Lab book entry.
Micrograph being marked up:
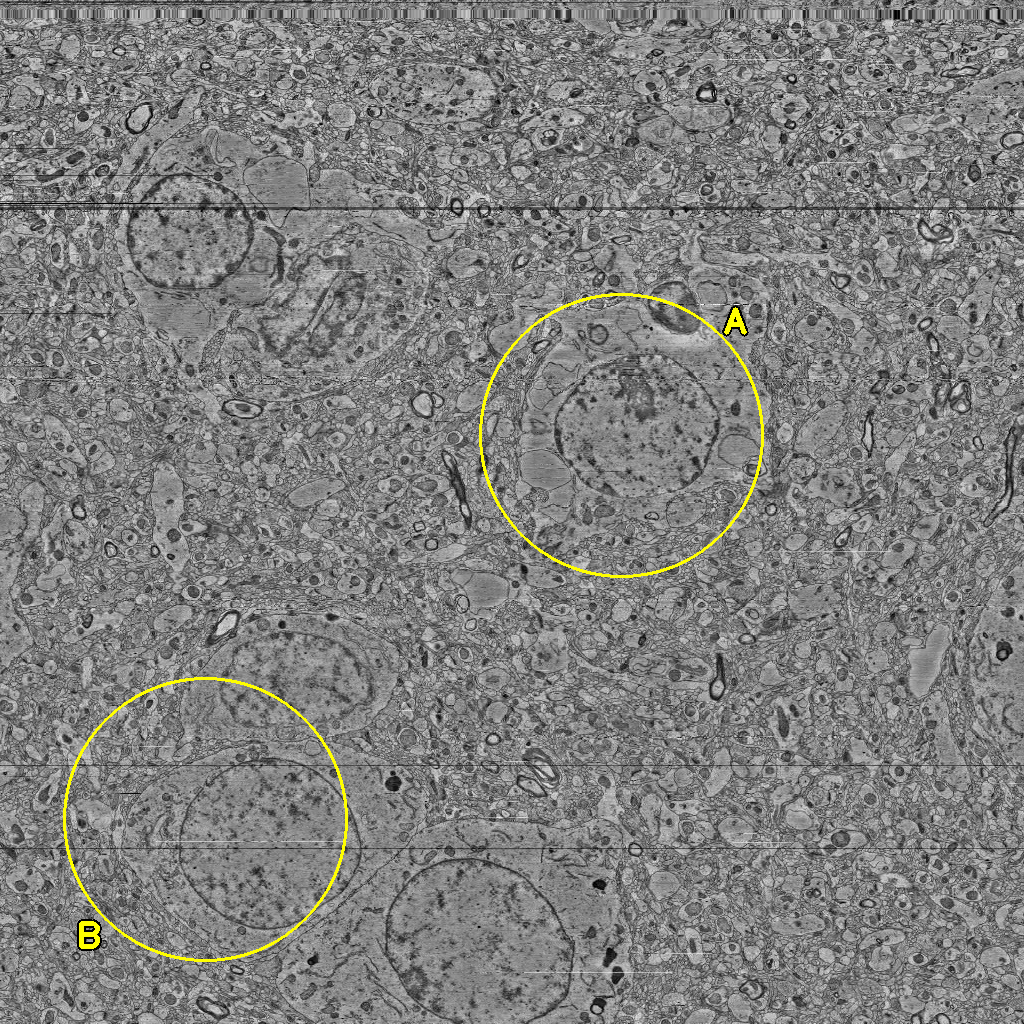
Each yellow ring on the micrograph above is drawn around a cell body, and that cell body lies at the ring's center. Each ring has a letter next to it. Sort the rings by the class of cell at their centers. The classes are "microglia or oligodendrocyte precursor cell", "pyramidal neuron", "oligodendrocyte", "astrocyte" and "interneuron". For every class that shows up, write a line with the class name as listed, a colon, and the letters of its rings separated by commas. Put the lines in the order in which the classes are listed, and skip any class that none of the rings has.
pyramidal neuron: B
astrocyte: A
